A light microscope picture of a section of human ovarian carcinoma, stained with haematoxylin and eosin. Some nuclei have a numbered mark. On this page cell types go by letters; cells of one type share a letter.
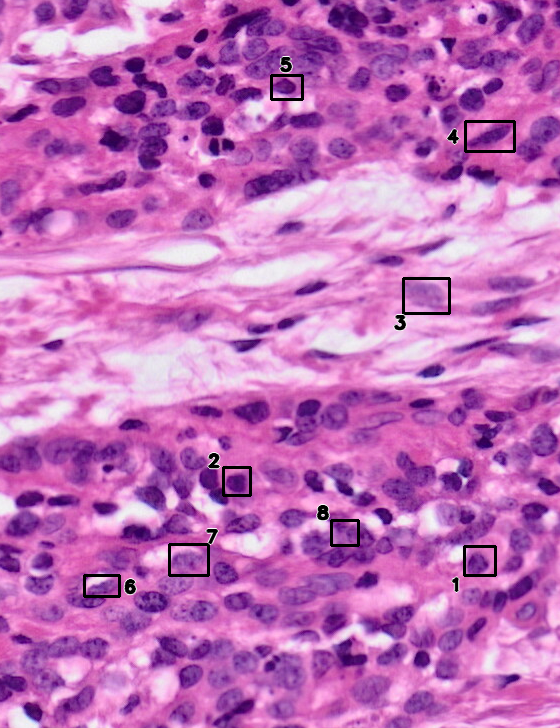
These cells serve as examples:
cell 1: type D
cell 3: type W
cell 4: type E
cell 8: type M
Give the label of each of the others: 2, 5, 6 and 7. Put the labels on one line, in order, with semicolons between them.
type M; type M; type E; type M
